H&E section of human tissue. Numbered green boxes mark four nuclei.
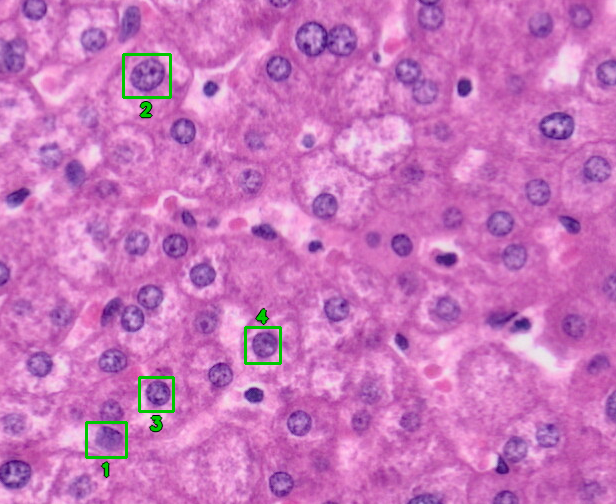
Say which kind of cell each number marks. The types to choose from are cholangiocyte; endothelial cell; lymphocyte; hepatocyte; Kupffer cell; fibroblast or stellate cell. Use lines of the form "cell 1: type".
cell 1: endothelial cell
cell 2: hepatocyte
cell 3: hepatocyte
cell 4: hepatocyte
